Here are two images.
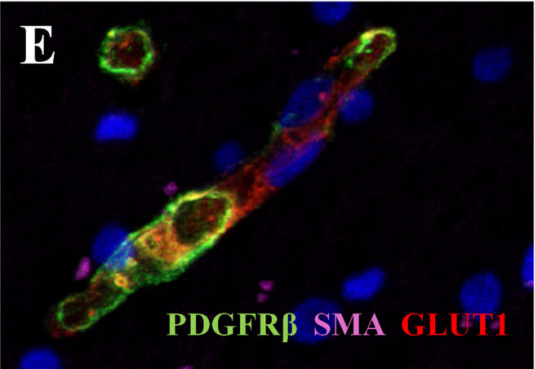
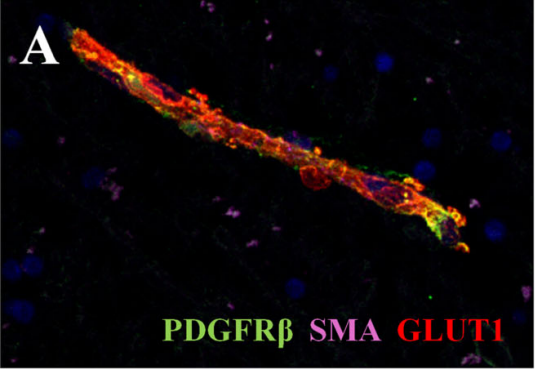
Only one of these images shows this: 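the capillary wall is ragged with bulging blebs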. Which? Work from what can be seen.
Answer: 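Second image: the vessel outline is irregular, with small rounded red protrusions along its length.
Hence: the second image.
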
